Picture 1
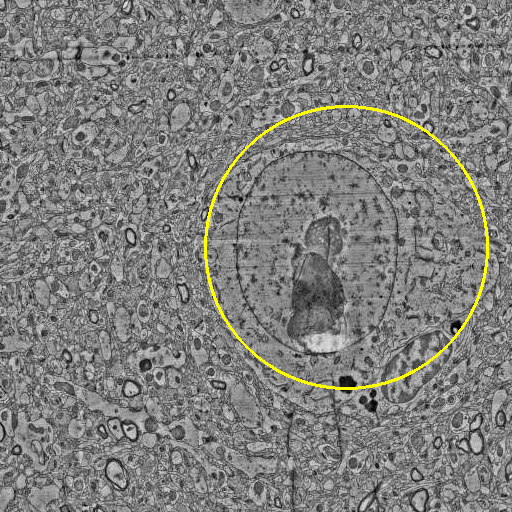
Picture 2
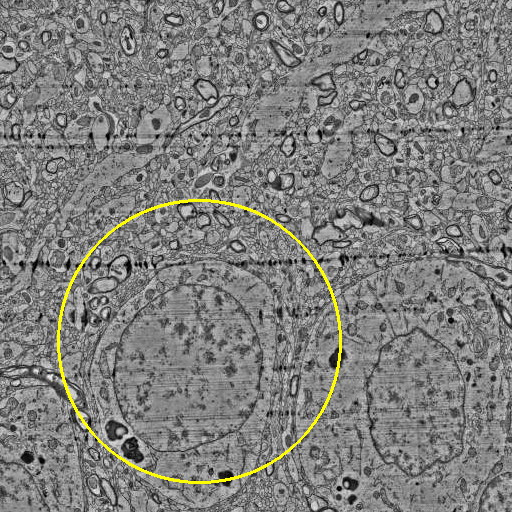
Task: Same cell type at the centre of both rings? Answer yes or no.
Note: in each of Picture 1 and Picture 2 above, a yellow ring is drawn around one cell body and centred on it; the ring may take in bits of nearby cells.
yes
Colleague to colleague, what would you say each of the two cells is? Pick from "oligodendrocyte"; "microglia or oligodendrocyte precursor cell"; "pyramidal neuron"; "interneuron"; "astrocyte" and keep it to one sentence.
Each of the two rings is centred on a pyramidal neuron.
